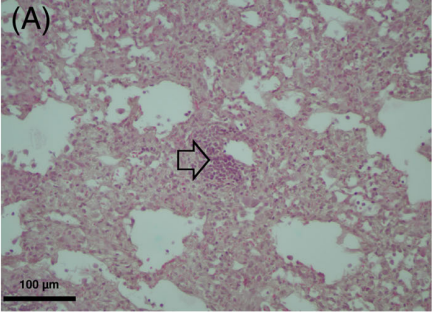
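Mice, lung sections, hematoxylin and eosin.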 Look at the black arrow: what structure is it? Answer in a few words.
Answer: Lymphoid aggregates.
